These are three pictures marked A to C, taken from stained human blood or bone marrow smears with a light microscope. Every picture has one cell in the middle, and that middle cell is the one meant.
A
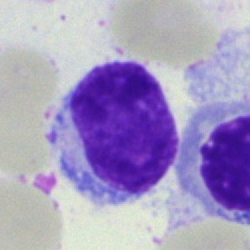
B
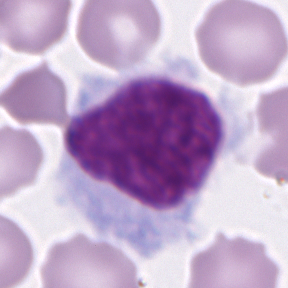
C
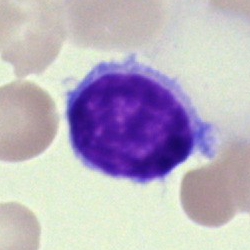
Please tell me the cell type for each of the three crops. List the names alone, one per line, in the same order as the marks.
hairy cell
hairy cell
lymphocyte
